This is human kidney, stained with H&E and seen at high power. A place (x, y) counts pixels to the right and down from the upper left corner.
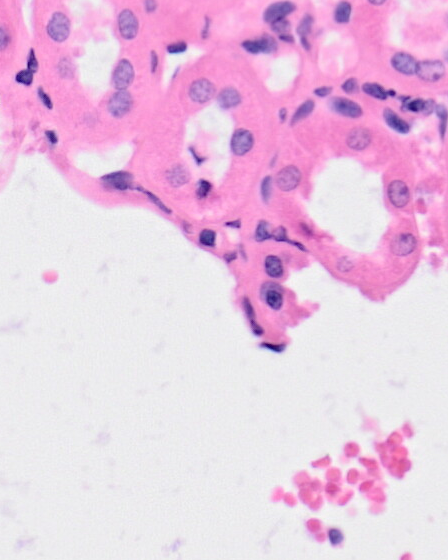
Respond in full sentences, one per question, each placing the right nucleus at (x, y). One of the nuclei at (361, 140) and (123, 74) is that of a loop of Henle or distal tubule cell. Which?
At (123, 74) lies the nucleus that belongs to a loop of Henle or distal tubule cell.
